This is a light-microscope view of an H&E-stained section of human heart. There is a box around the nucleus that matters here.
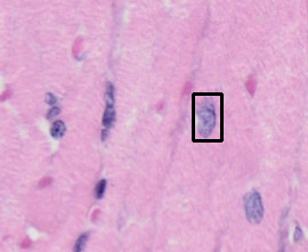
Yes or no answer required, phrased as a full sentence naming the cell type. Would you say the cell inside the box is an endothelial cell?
No, it is as a cardiomyocyte, not an endothelial cell, that the cell inside the box is classified.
